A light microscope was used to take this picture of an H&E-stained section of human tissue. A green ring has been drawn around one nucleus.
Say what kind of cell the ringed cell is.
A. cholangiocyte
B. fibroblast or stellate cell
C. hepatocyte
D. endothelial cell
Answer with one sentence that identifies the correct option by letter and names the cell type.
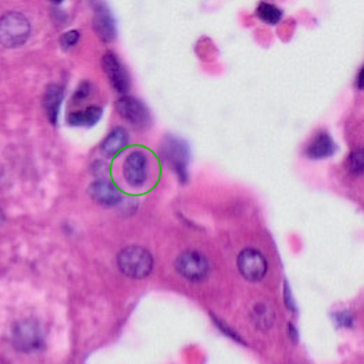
The correct option here, A, identifies the ringed cell as a cholangiocyte.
